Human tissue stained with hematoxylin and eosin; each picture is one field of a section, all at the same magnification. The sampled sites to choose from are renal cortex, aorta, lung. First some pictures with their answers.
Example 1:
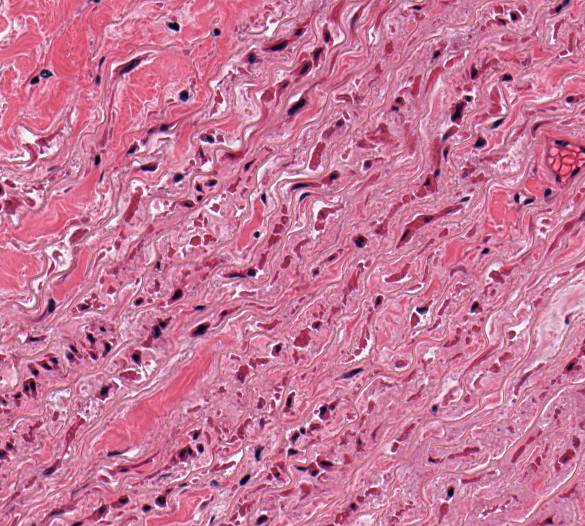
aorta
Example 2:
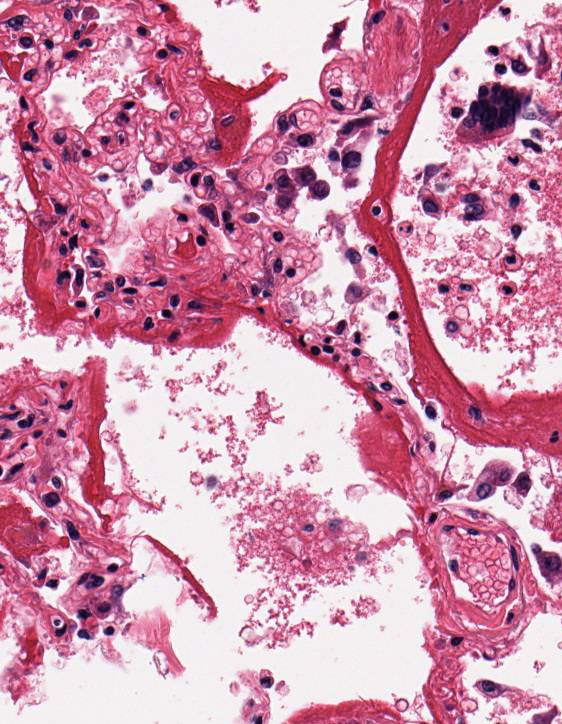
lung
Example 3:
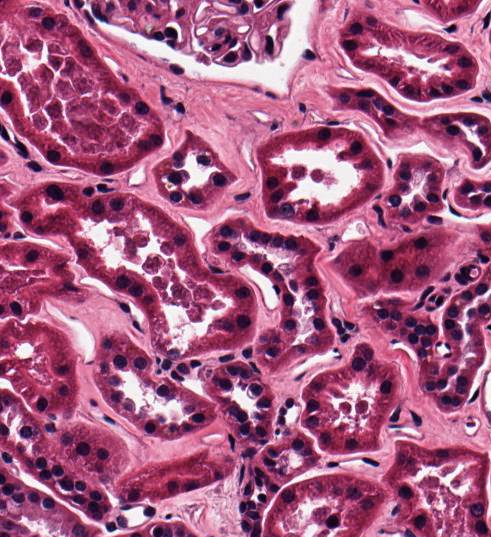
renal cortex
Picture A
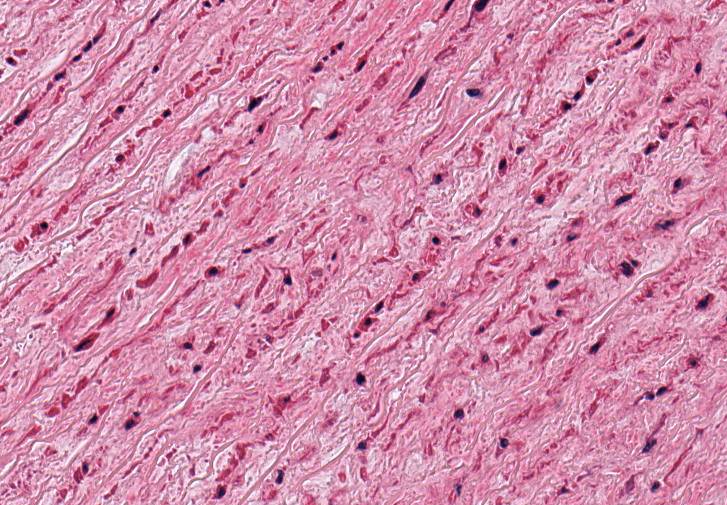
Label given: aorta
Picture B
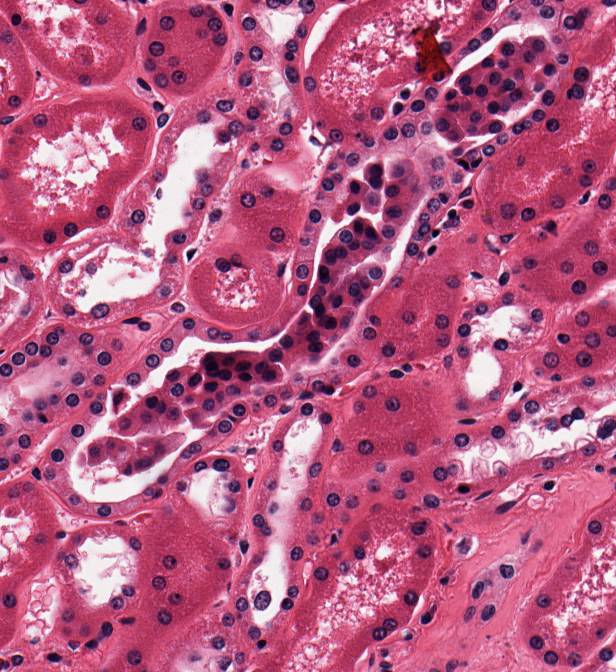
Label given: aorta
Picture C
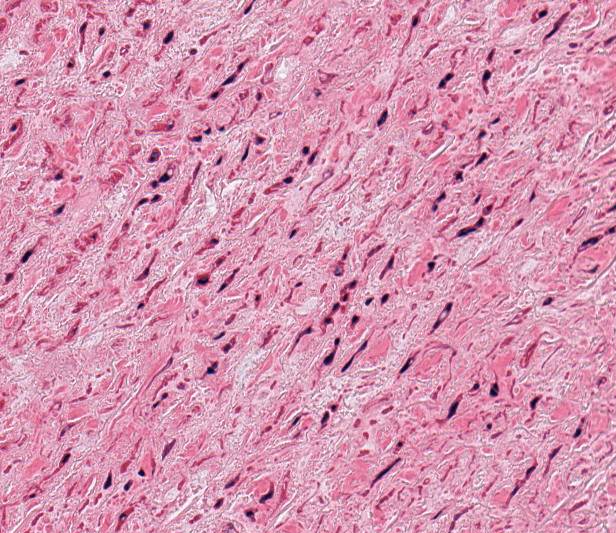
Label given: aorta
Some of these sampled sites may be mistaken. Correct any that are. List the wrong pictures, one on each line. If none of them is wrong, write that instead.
B should be renal cortex, not aorta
